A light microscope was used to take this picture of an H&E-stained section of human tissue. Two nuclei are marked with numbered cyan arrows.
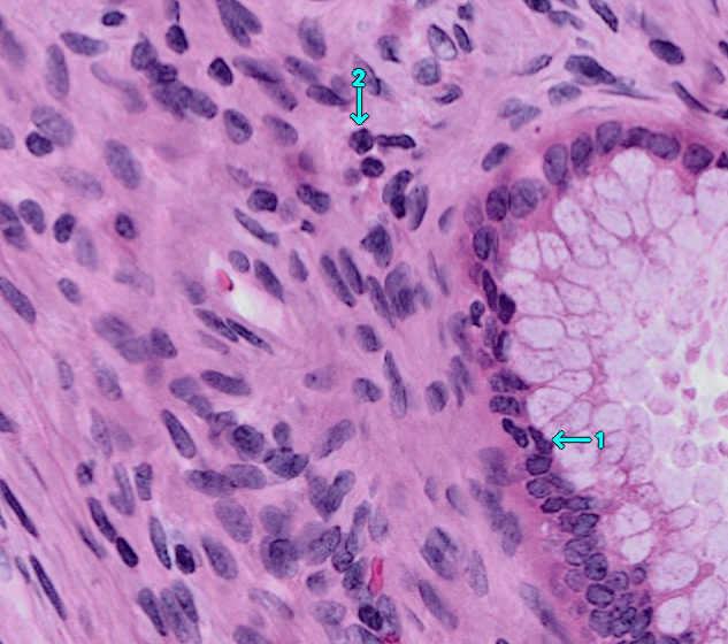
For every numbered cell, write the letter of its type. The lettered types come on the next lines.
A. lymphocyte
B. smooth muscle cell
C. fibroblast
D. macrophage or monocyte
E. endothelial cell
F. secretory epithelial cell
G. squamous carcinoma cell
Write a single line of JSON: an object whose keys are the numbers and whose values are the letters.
{"1": "F", "2": "A"}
